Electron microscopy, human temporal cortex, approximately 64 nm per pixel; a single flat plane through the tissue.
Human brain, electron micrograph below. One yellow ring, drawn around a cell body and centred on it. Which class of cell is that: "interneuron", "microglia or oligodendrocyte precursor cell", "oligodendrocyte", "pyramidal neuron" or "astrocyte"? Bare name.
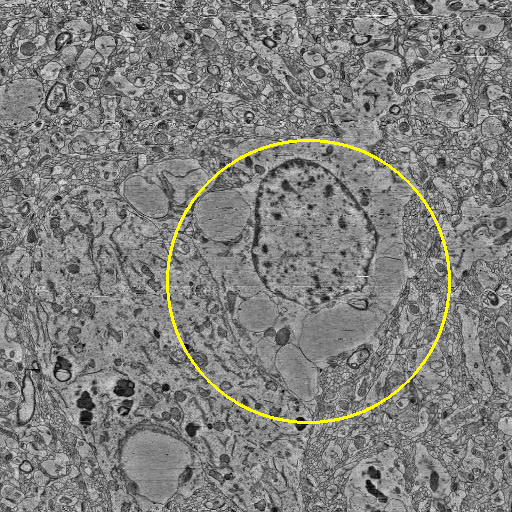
astrocyte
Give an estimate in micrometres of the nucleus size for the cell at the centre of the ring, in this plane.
Approximately 10 by 8 micrometers in this plane.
